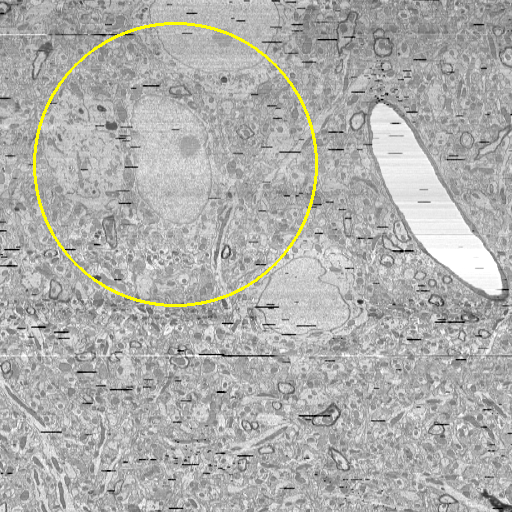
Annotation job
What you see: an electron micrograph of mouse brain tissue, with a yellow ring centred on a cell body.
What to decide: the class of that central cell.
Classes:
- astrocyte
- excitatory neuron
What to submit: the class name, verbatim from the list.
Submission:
astrocyte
